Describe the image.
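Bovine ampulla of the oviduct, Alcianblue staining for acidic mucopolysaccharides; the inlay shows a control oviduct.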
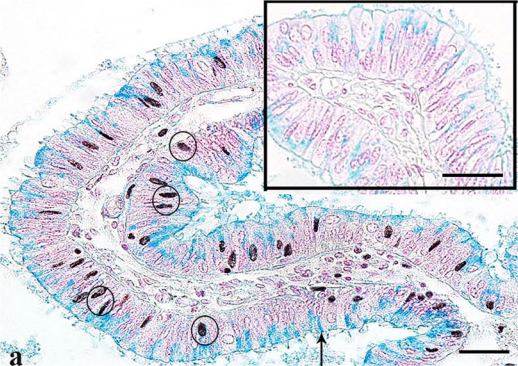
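A branching mucosal fold is lined by tall columnar epithelial cells with elongated, reddish nuclei and a fringed luminal surface. The apical cytoplasm of many lining cells stains a strong turquoise blue, the stain reaching deep between the cells in places. Dark brown-black dense oval bodies are scattered through the epithelium and the loose connective tissue core of the fold, several of them ringed. A slender cell squeezed between the columnar cells is marked within the lining. The inset shows a similar fold whose epithelium carries only faint, patchy blue, so the blue is much stronger in the main image.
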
